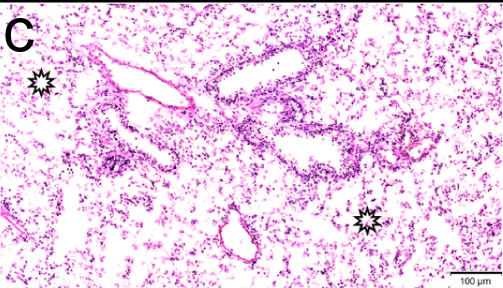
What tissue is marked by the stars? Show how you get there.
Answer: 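The stars lie in a lacy pink meshwork of thin walls around open air spaces. The spaces between the walls are mostly clear. That points to this answer: aerated parenchymal tissue.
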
